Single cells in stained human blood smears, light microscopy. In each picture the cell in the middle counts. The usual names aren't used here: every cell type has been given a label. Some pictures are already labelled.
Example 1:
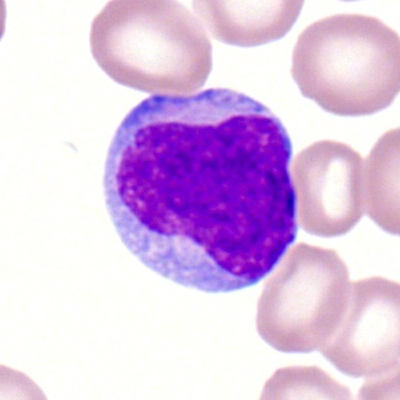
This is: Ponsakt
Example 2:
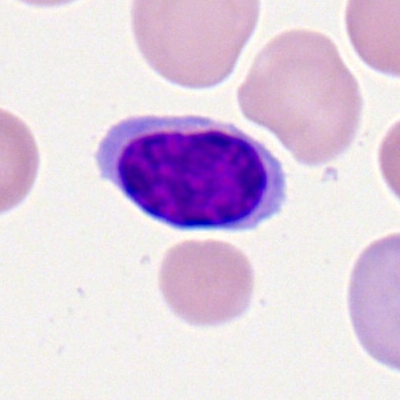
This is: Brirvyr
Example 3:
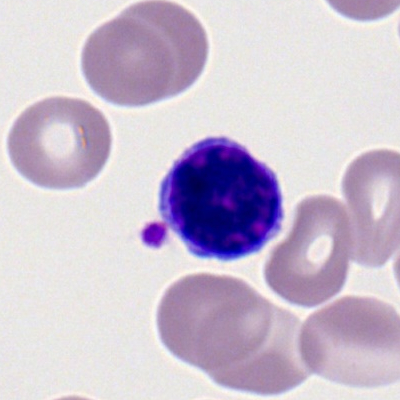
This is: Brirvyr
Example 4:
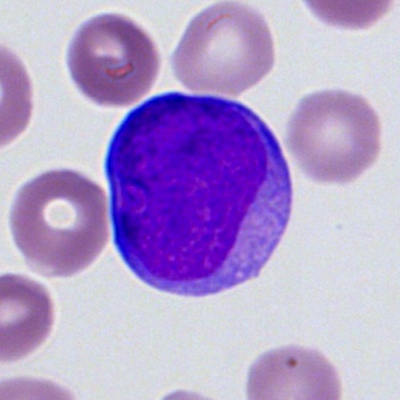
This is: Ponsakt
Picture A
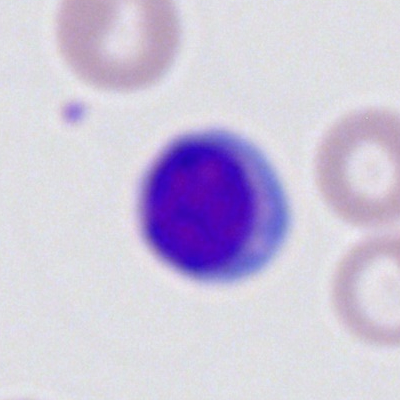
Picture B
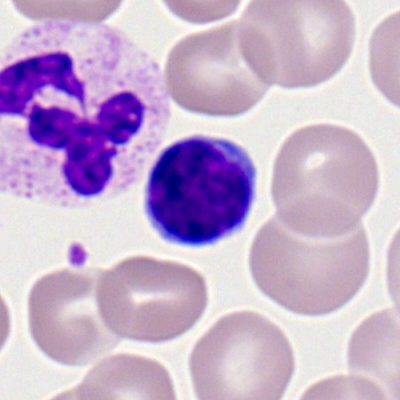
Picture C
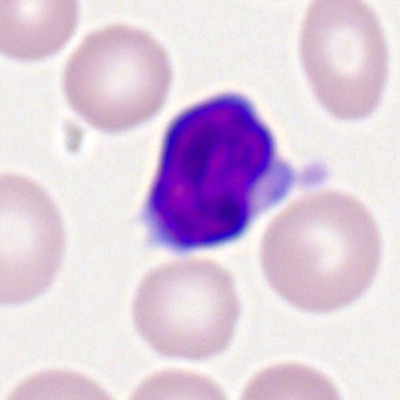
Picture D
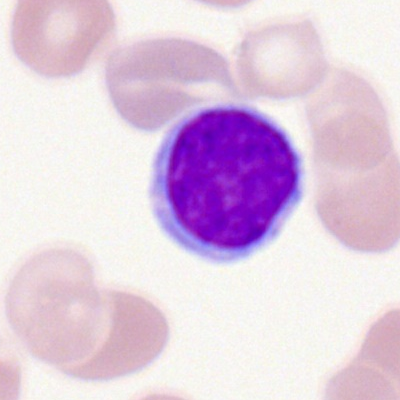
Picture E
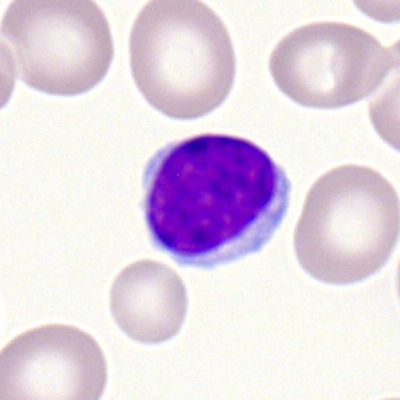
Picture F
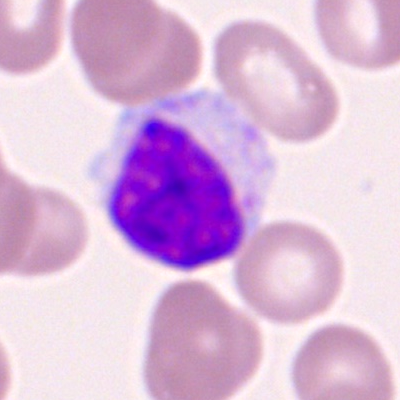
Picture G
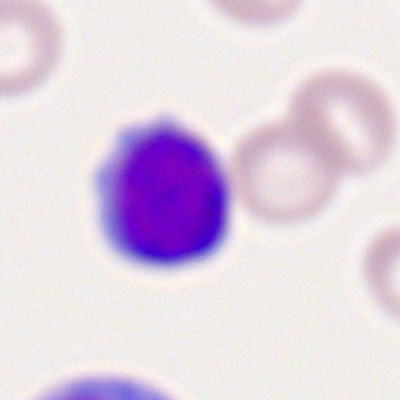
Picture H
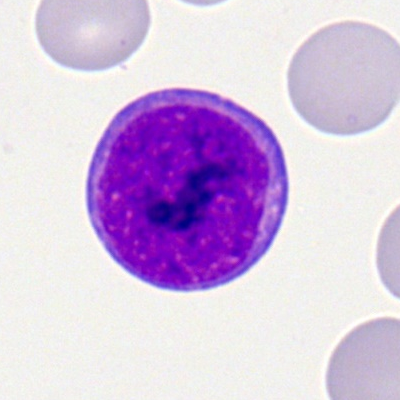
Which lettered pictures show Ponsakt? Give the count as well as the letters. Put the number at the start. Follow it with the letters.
Count: 1 (H)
